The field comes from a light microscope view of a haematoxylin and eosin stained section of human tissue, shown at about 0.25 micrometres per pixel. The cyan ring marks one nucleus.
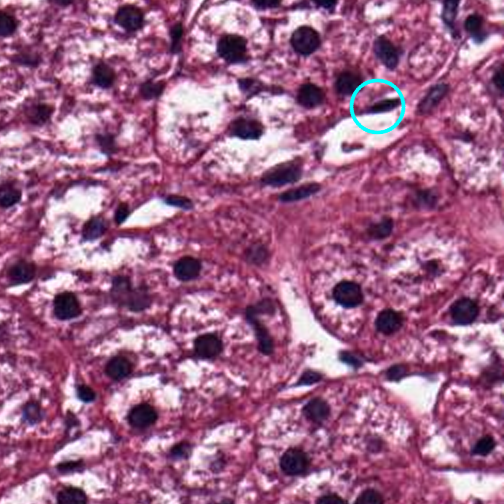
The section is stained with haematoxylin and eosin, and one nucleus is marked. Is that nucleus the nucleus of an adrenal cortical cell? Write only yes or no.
no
